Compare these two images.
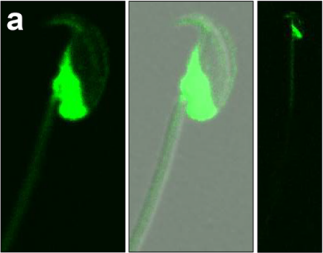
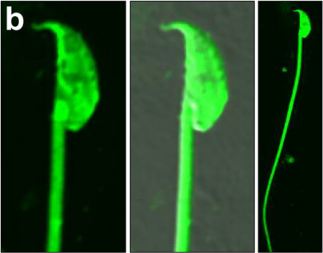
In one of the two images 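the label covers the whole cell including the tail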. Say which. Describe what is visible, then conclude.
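Second image: the whole head and the full length of the tail fluoresce green. First image: green is confined mostly to the basal part of the head, the tail is nearly dark.
Conclusion: the second image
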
